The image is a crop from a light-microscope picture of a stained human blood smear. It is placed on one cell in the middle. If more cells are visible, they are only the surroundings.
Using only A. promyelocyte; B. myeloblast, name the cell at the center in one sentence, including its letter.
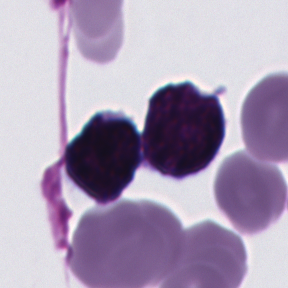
Option B gets it right: the cell in the middle is a myeloblast.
